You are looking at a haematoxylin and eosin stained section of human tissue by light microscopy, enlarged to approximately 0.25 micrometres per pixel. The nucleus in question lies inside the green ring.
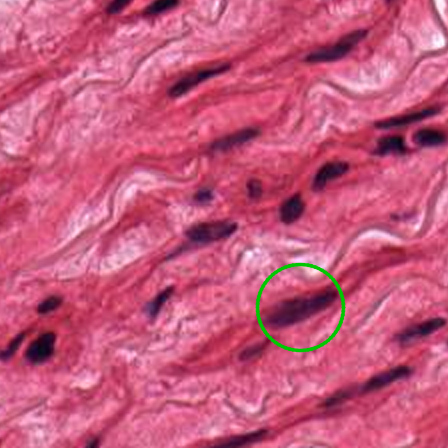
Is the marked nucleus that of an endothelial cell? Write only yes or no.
no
